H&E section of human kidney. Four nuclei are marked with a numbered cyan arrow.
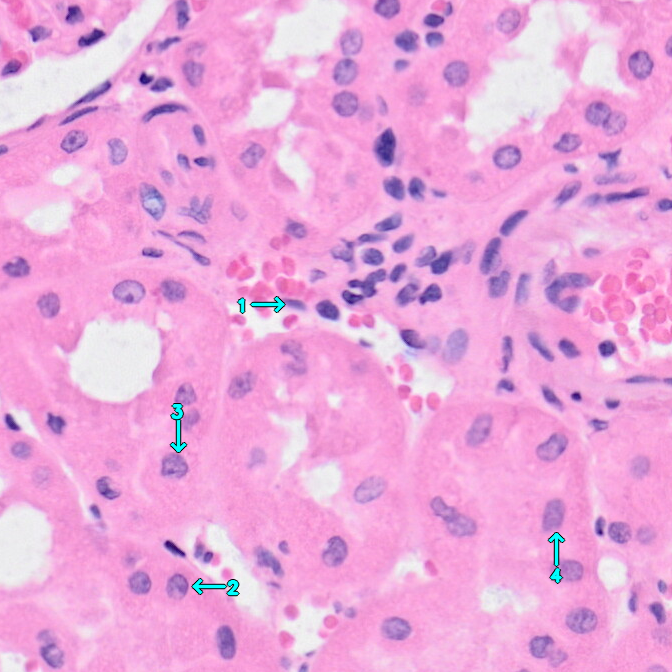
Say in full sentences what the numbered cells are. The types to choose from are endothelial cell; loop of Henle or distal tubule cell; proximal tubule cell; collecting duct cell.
Cell 1 is an endothelial cell, cell 2 is a proximal tubule cell, cell 3 is a proximal tubule cell and cell 4 is a proximal tubule cell.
